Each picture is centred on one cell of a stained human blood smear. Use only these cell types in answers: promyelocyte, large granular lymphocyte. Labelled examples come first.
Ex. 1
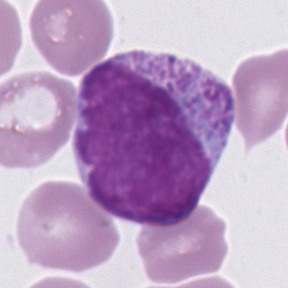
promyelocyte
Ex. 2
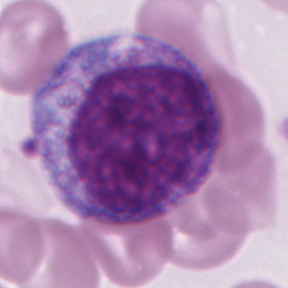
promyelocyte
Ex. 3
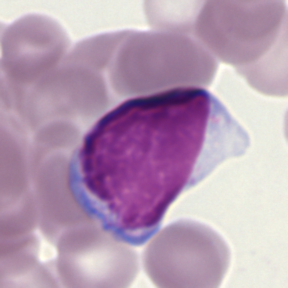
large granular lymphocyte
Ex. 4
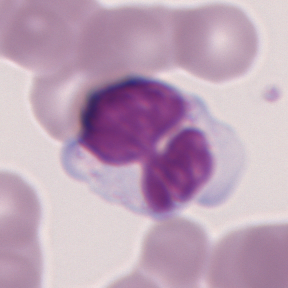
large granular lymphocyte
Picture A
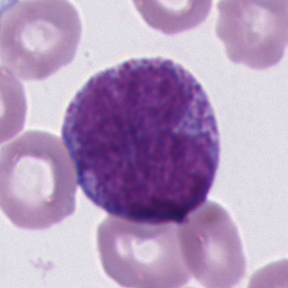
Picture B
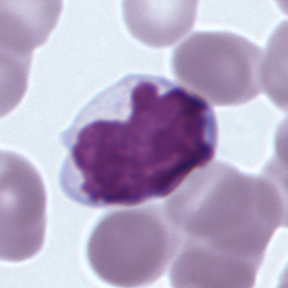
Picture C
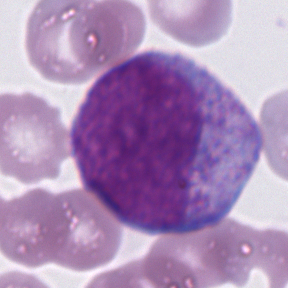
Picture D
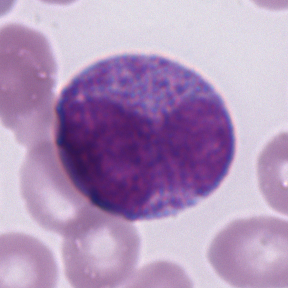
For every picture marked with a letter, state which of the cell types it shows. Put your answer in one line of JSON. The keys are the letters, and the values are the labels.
{"A": "promyelocyte", "B": "large granular lymphocyte", "C": "promyelocyte", "D": "promyelocyte"}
